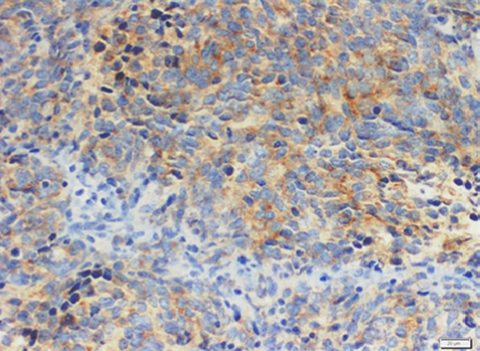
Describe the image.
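A granular brown stain lies in the cytoplasm and along the cell borders of many of the cells, forming a patchy, net-like pattern between the nuclei. The nuclei vary somewhat in size and shape, and some are darker than others. A paler band with less brown stain and looser cells crosses the lower middle of the field.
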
